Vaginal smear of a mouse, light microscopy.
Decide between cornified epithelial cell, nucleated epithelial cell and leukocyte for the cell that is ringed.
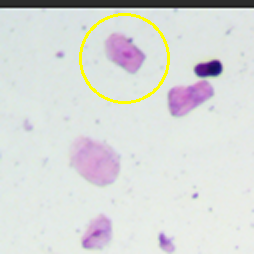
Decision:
I take the ringed cell for a nucleated epithelial cell.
